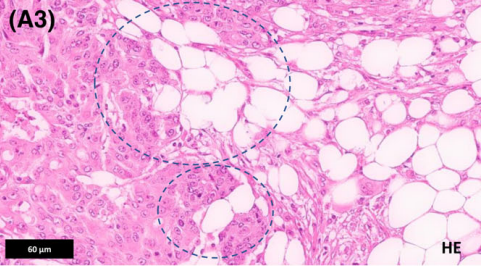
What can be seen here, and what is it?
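Clusters of large tumour cells with pink cytoplasm lie right beside round, empty-looking fat cells. In several places the tumour nests touch the fat cell membranes directly, with no band of fibrous tissue or inflammatory cells in between. Elsewhere thin pink stromal strands run between the fat cells. This is tumour invading fat with direct contact to adipocytes.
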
